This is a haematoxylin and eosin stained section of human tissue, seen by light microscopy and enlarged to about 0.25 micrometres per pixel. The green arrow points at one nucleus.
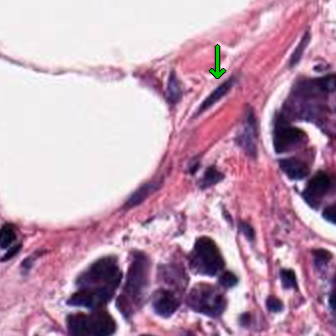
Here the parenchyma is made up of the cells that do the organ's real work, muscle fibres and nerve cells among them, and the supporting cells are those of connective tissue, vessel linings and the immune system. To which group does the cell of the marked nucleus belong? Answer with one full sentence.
Belonging to a supporting cell is the nucleus that is marked.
